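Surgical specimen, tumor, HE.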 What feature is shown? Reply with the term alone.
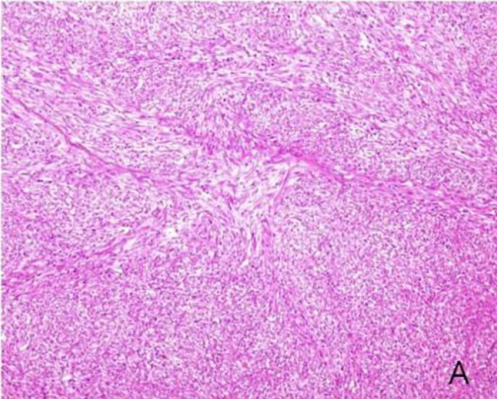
bundles or swirl patterns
